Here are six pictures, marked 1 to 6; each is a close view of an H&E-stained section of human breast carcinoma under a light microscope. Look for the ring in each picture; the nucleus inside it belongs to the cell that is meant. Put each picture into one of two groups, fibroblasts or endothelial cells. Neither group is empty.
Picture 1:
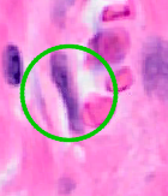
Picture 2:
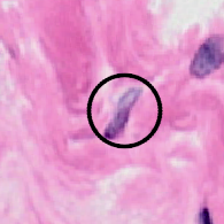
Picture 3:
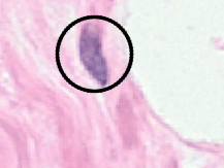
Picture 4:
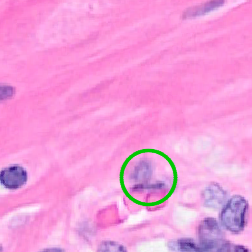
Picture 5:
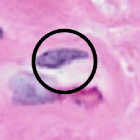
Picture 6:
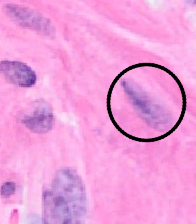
1: endothelial cell
2: fibroblast
3: fibroblast
4: endothelial cell
5: endothelial cell
6: fibroblast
